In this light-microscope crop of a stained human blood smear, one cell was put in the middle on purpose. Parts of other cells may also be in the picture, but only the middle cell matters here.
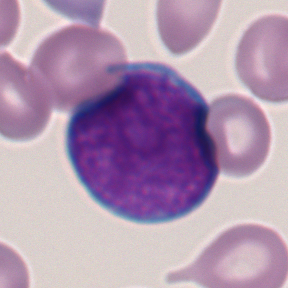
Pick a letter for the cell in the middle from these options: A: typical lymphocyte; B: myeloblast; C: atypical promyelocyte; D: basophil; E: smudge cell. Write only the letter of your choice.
B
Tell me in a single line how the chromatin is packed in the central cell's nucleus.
Chromatin texture is fine, and coarse clumps are absent.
